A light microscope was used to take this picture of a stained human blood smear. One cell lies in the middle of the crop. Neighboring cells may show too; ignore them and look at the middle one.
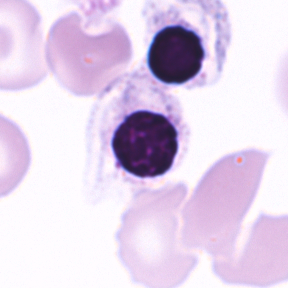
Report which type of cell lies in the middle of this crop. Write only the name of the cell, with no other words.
normoblast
